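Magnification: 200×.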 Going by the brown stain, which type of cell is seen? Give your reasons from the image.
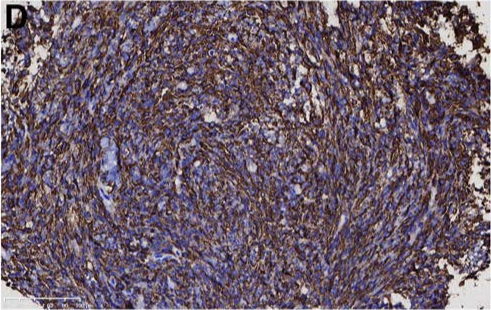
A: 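Dense brown staining outlines elongated cells throughout the field. The brown-stained cells are arranged in sweeping fascicles. The answer: Spindle shaped tumor cells.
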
